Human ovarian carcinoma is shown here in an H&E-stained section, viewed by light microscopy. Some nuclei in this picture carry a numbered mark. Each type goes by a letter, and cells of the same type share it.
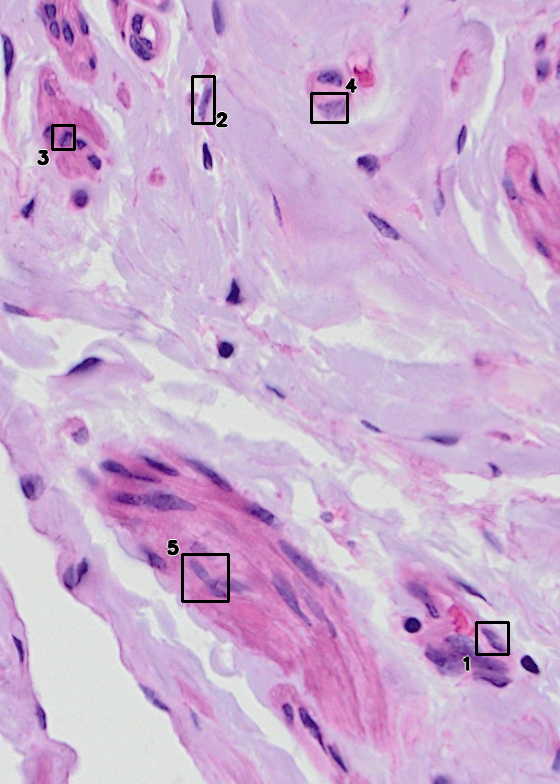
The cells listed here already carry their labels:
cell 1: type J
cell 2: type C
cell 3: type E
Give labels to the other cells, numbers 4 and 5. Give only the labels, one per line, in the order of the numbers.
type J
type E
